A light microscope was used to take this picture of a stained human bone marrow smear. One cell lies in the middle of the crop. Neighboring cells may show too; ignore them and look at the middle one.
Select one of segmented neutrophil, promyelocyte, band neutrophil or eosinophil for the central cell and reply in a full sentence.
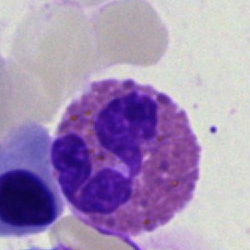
Standing at the centre of this crop is an eosinophil.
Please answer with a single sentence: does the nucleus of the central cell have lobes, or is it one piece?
Segmentation of the nucleus into two or more lobes is the finding.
